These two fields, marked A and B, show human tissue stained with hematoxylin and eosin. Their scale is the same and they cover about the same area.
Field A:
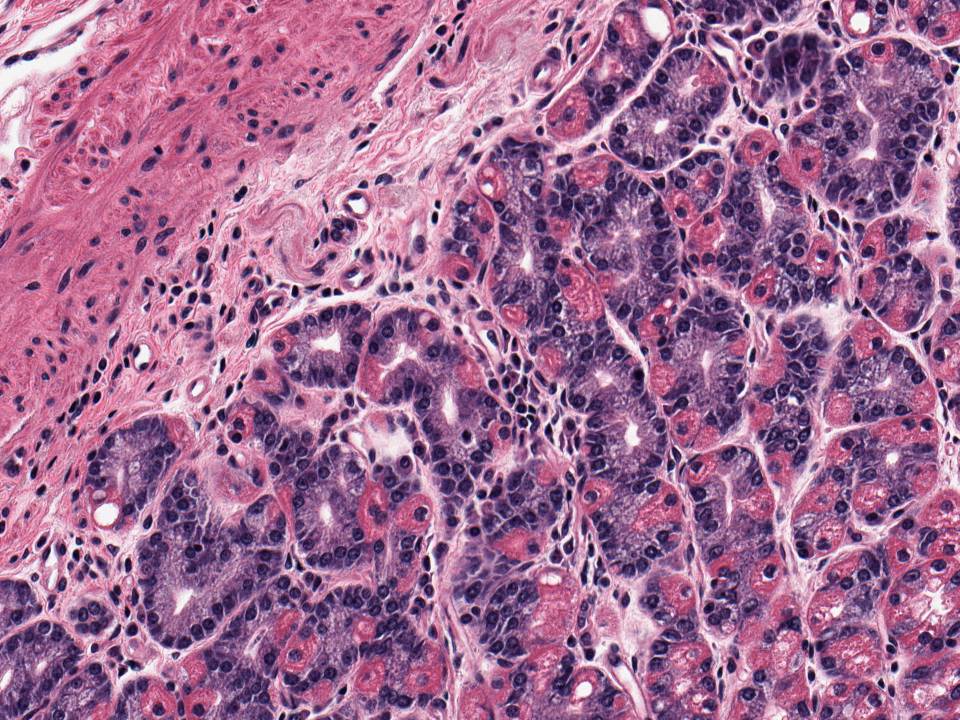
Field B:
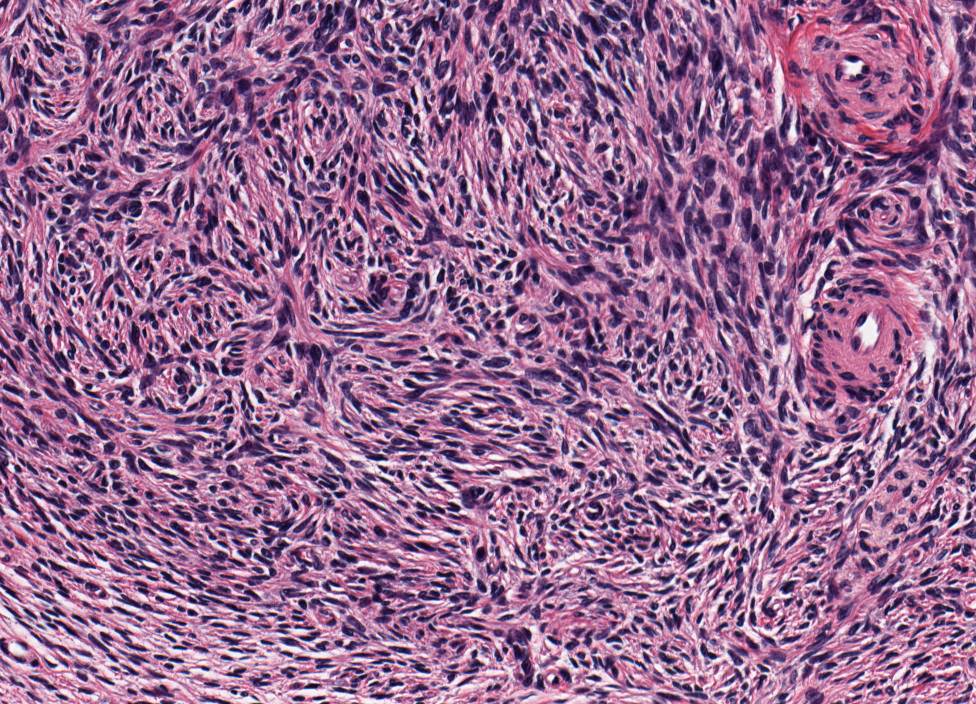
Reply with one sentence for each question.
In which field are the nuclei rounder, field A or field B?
The nuclei are rounder in field A.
